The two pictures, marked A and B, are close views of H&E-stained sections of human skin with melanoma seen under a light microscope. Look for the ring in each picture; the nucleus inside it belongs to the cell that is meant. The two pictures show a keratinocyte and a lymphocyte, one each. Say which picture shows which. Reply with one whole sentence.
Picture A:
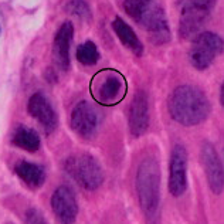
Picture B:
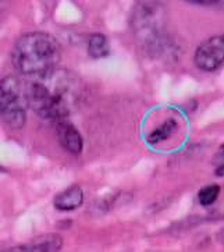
The cell in picture A is a keratinocyte, and the one in picture B is a lymphocyte.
